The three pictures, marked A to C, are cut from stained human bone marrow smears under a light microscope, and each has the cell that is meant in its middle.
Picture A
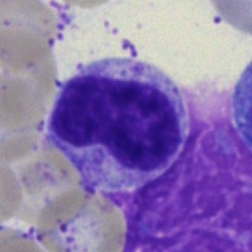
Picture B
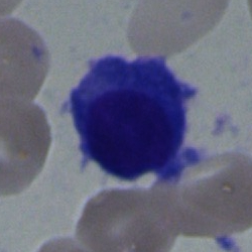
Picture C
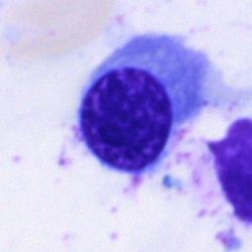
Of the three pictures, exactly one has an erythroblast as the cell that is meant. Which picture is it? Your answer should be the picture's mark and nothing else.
C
